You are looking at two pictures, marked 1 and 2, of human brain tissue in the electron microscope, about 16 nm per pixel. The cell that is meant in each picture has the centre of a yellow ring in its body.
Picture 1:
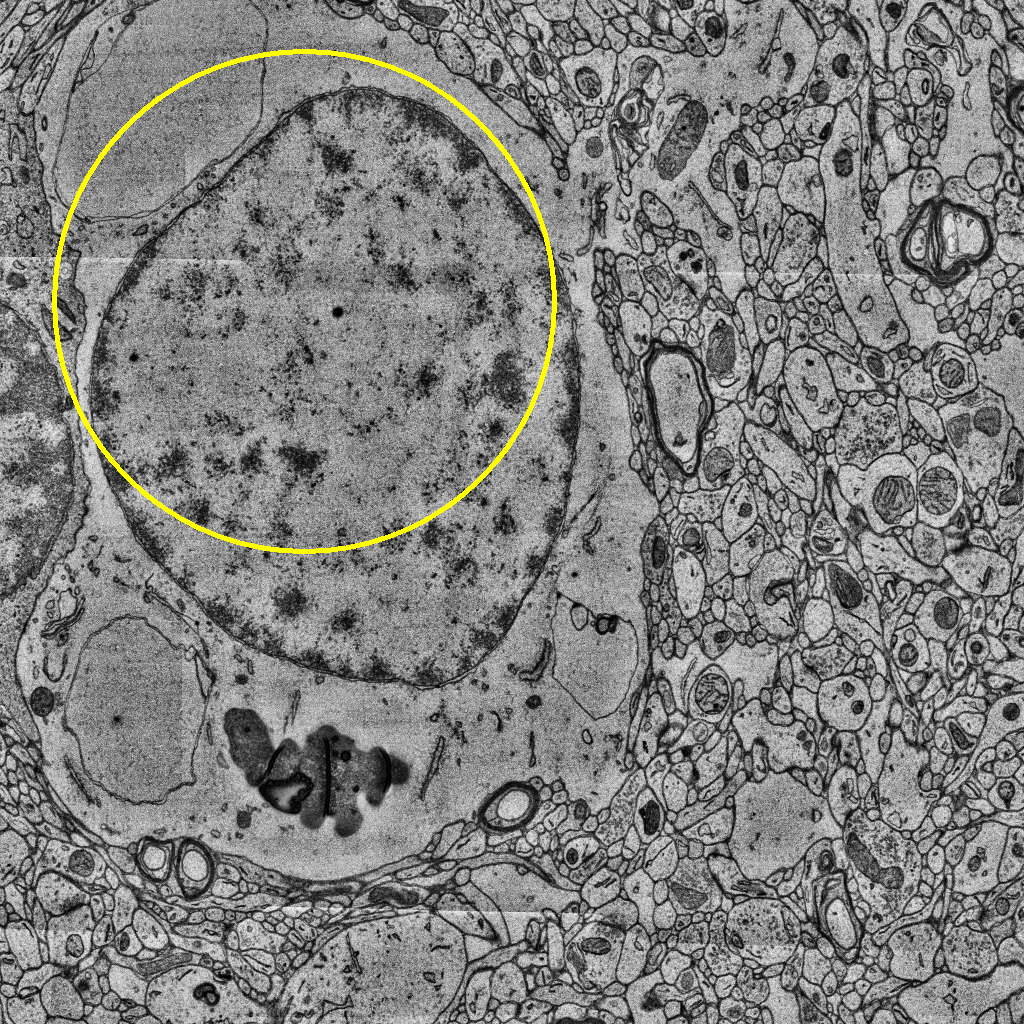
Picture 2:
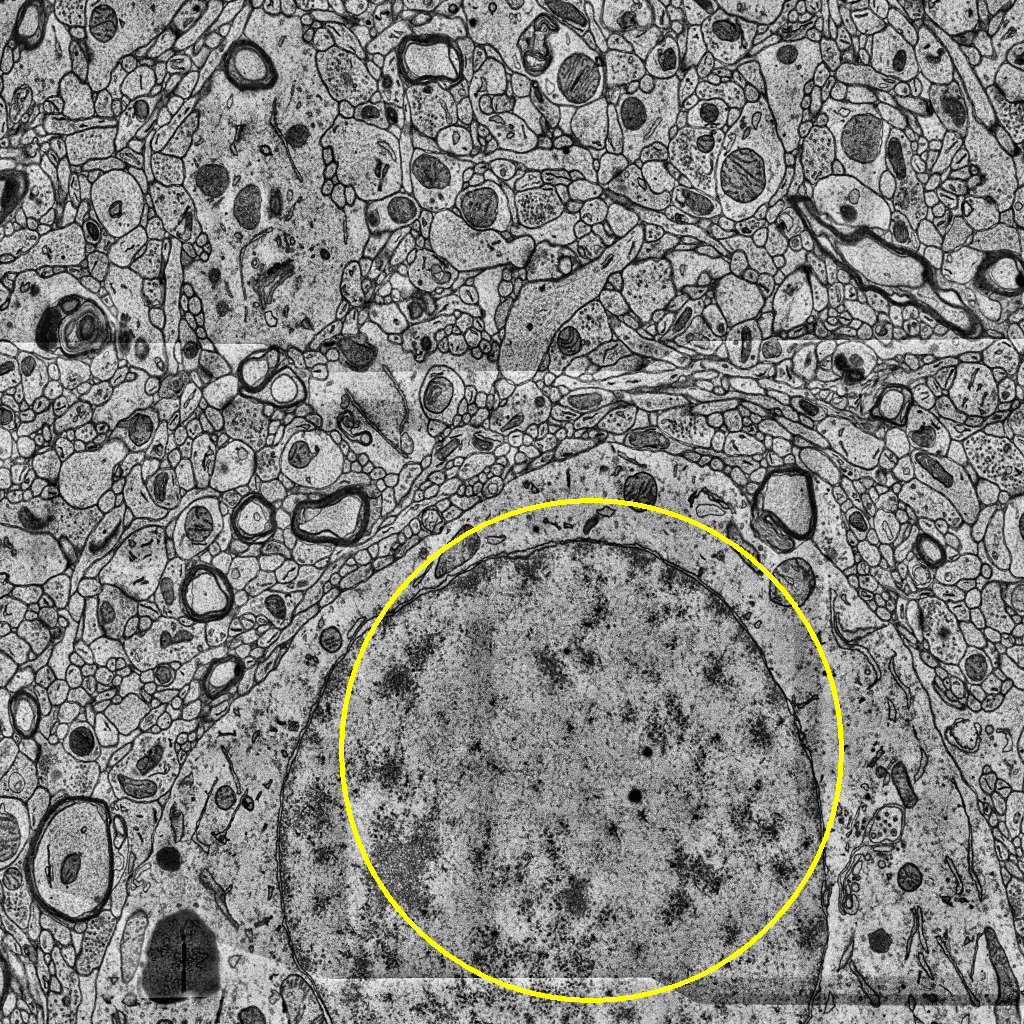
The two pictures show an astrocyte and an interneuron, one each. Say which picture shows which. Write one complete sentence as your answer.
It is picture 1 that shows an astrocyte, and picture 2 that shows an interneuron.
